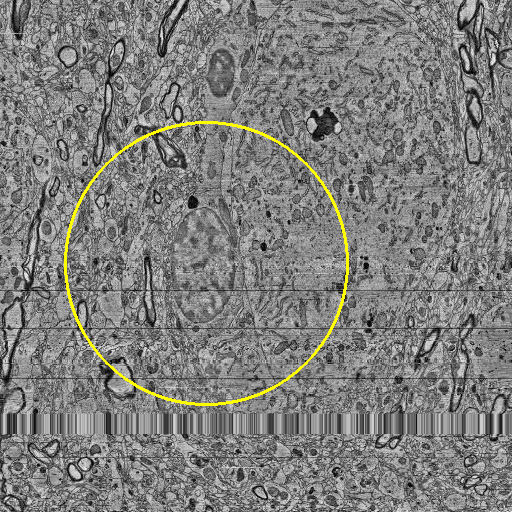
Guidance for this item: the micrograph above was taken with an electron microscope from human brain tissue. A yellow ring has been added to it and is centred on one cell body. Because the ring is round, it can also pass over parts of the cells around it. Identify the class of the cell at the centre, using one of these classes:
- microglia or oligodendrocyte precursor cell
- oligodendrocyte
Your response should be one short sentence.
The ring surrounds the body of an oligodendrocyte.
